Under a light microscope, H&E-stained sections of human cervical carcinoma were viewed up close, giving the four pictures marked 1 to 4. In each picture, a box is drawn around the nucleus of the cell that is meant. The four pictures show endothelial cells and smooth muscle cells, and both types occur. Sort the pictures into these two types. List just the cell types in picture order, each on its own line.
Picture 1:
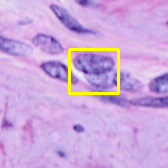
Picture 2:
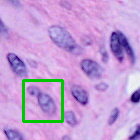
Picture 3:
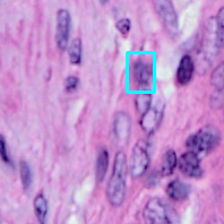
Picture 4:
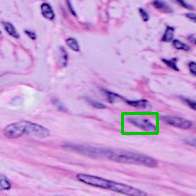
endothelial cell
smooth muscle cell
endothelial cell
smooth muscle cell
